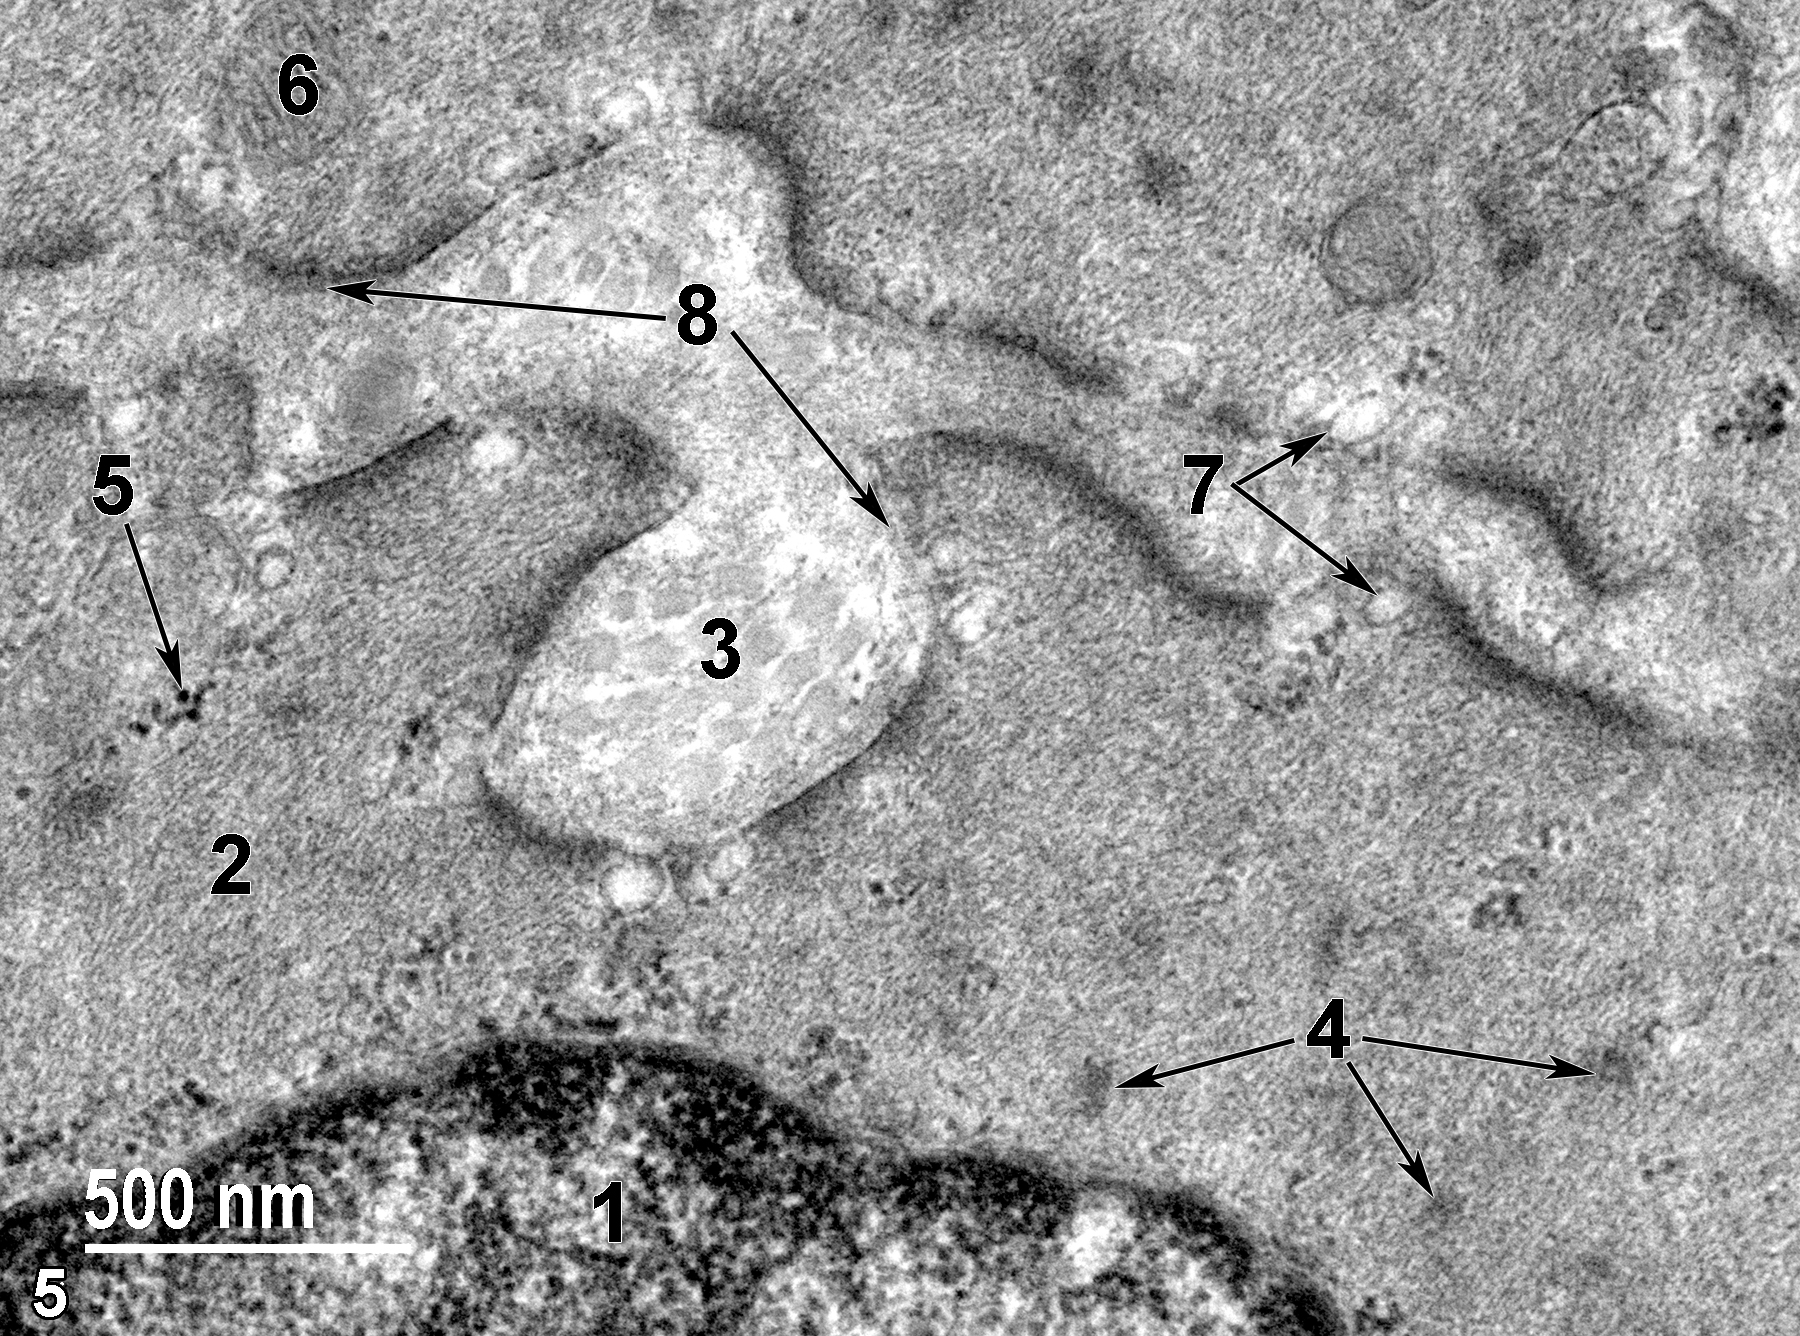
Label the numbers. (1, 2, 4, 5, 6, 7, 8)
1. nucleus
2. actin and myosin microfilaments
4. fusiform densities
5. clusters of ribosomes
6. mitochondria
7. micropinocytotic vesicles
8. basal lamina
